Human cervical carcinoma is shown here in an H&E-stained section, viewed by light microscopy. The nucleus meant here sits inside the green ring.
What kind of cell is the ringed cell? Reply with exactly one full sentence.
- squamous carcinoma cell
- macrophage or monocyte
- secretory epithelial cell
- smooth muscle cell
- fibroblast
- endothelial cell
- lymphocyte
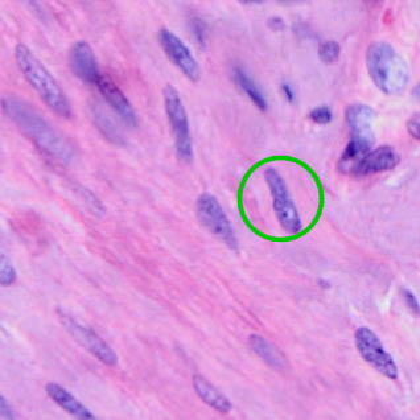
Microscopically, the ringed cell is categorized as a fibroblast.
